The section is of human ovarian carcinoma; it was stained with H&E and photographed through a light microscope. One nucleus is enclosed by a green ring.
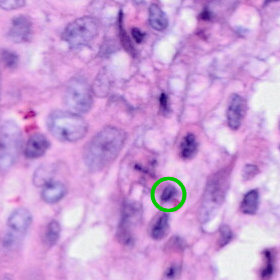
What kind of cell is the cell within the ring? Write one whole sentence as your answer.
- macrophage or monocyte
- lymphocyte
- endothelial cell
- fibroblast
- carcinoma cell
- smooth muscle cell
In the stained section, the cell within the ring is a lymphocyte.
